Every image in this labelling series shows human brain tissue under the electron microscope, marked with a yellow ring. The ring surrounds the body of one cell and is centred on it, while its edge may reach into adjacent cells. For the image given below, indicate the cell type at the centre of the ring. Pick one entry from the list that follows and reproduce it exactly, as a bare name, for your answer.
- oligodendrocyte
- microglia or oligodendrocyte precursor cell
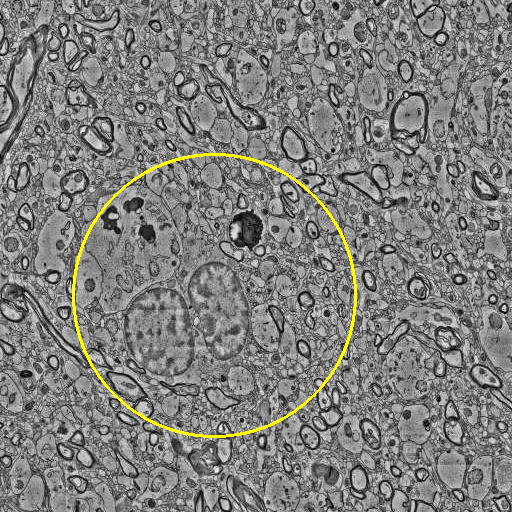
oligodendrocyte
